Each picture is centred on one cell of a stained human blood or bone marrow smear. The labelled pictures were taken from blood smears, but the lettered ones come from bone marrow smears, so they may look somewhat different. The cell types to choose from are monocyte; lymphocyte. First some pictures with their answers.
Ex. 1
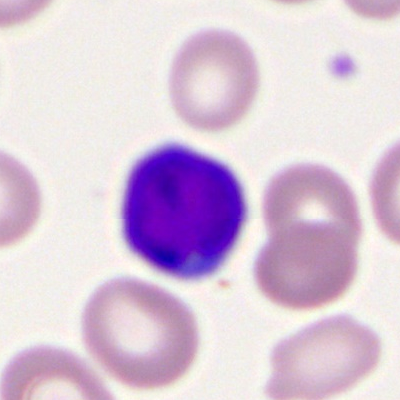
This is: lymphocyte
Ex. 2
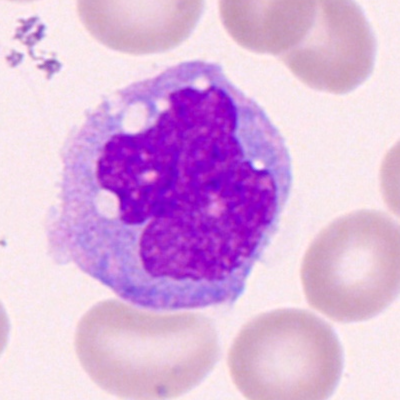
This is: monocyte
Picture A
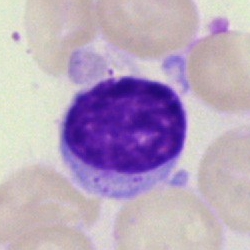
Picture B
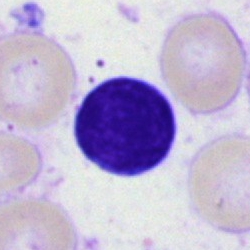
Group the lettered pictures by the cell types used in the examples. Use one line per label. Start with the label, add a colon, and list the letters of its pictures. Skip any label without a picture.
lymphocyte: A, B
